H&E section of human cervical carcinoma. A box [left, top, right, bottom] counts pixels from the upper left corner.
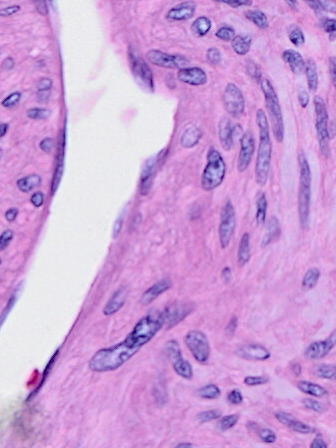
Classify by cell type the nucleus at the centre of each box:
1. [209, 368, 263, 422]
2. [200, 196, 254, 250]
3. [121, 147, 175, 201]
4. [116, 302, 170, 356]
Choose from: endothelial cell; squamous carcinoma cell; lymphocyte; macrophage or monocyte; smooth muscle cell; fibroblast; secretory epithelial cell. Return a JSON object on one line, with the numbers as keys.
{"1": "smooth muscle cell", "2": "smooth muscle cell", "3": "endothelial cell", "4": "smooth muscle cell"}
